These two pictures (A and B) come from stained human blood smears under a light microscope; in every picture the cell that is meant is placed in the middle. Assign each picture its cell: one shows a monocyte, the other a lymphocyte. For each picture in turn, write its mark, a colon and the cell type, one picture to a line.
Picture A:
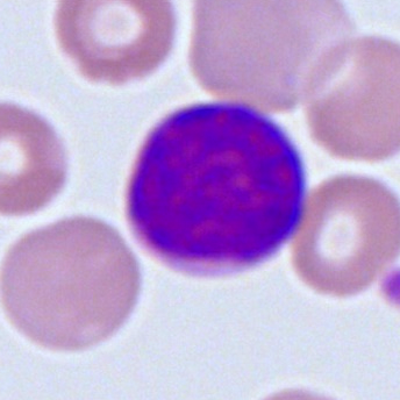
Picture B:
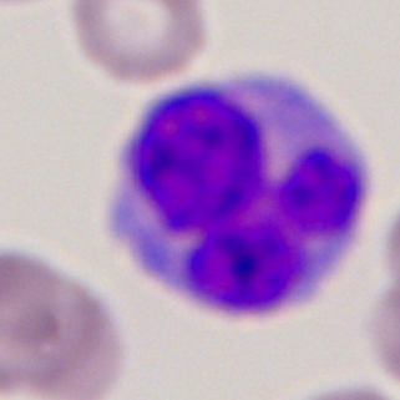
A: lymphocyte
B: monocyte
